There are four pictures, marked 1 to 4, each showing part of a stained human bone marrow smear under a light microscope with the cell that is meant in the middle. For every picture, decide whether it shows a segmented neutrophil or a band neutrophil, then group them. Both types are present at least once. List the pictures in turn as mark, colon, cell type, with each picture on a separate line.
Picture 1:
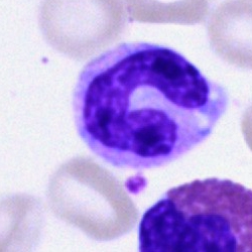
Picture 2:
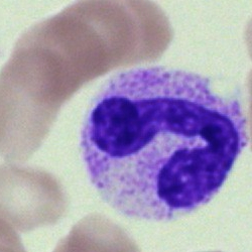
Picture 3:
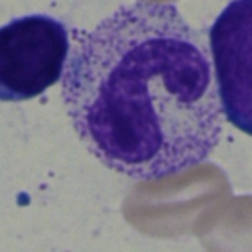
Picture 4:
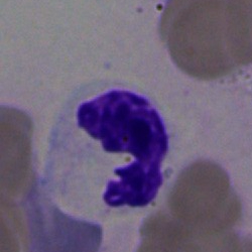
1: band neutrophil
2: band neutrophil
3: segmented neutrophil
4: segmented neutrophil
